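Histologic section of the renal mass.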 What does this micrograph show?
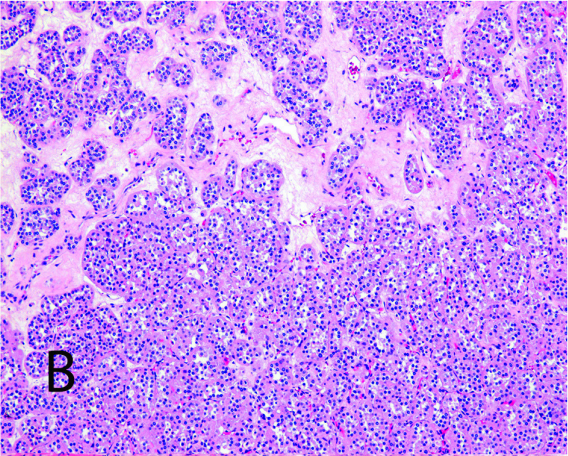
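The cells are round to polygonal with small, round, dark nuclei. In the upper part of the field, smaller nests and cords lie within pale pink, loose, sparsely cellular stroma, while the lower part is filled with densely packed nests.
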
